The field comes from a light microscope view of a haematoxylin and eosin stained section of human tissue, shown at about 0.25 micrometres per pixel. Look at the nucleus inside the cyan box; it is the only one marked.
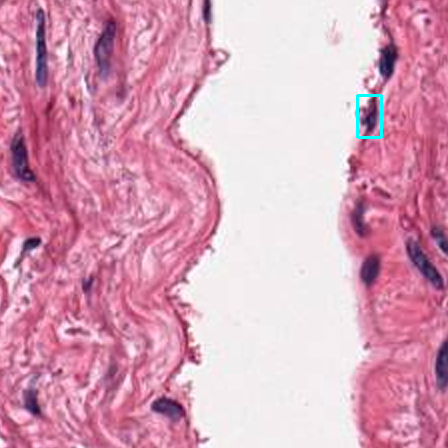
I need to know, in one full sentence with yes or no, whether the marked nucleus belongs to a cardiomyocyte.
No, the owner of the marked nucleus is a supporting cell, not a cardiomyocyte.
